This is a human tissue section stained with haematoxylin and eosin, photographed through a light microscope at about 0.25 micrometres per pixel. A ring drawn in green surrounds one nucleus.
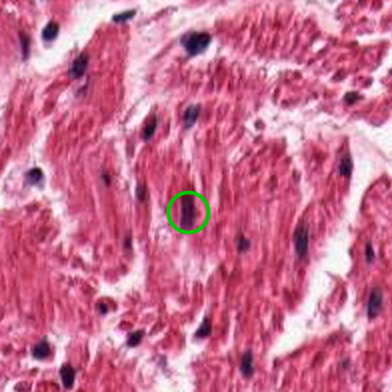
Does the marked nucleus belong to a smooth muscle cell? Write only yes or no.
yes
